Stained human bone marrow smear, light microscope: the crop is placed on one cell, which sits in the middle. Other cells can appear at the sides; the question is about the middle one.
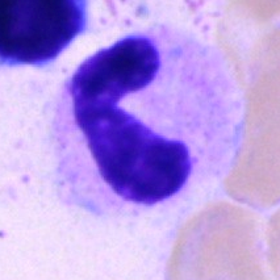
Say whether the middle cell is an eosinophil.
no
